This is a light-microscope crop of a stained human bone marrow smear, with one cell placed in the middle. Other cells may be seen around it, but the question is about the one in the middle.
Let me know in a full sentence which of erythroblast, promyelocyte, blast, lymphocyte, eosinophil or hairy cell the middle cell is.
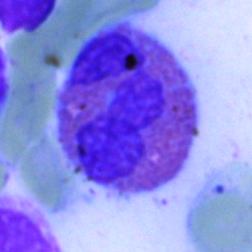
The cell nearest the centre of this crop is an eosinophil.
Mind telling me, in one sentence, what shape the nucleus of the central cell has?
Kindly observe that the nucleus forms two or more lobes.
